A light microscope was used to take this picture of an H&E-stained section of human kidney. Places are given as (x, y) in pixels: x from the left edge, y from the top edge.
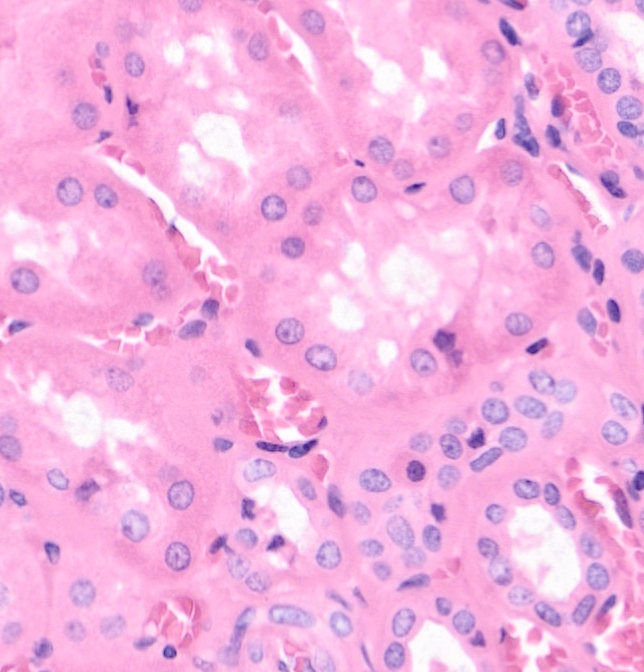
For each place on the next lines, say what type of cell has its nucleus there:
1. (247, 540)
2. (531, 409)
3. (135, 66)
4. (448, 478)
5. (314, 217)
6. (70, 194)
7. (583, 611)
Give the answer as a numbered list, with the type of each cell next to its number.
1. collecting duct cell
2. collecting duct cell
3. proximal tubule cell
4. collecting duct cell
5. proximal tubule cell
6. proximal tubule cell
7. collecting duct cell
